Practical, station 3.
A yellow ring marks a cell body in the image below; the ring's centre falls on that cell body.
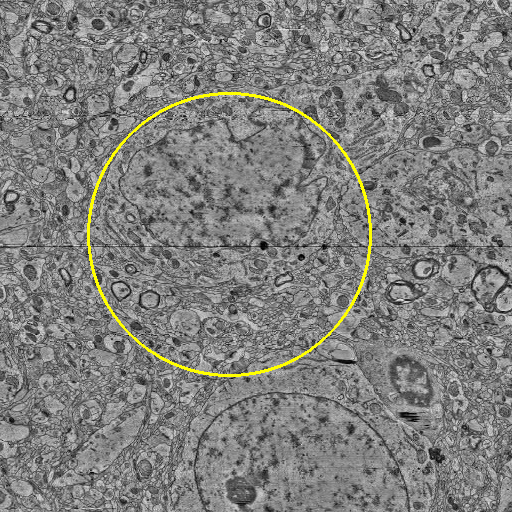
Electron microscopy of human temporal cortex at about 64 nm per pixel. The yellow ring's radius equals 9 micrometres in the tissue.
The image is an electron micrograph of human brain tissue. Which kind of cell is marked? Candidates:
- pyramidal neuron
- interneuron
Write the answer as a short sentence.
The marked cell body is that of an interneuron.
